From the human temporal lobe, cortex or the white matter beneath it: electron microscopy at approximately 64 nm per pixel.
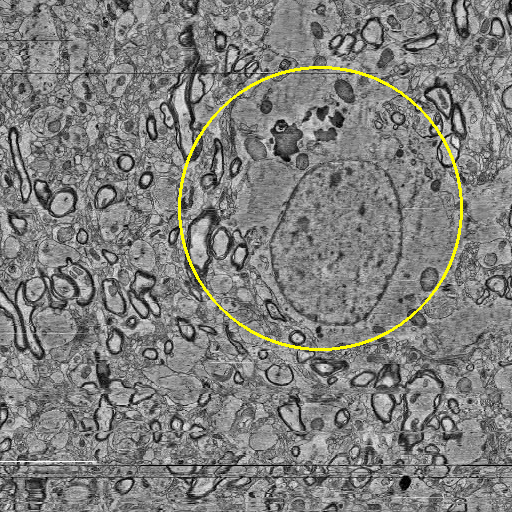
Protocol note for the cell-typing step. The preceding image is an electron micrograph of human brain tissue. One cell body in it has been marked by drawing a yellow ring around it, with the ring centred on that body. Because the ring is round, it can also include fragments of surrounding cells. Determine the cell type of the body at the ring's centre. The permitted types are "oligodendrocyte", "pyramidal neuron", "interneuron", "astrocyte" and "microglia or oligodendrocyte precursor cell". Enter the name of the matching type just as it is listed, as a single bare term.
astrocyte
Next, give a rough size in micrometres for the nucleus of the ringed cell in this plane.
In this plane the nucleus measures roughly 11 by 8 micrometres.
